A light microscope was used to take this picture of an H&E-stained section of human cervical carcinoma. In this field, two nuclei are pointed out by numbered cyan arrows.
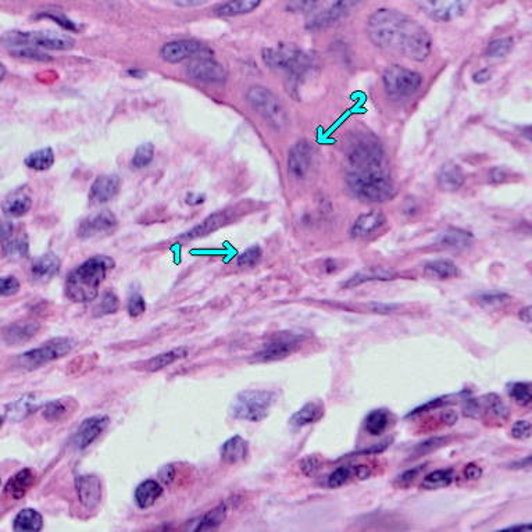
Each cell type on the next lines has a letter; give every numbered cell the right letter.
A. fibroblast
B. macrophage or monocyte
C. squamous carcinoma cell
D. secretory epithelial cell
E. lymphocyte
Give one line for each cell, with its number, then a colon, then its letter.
1: A
2: C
